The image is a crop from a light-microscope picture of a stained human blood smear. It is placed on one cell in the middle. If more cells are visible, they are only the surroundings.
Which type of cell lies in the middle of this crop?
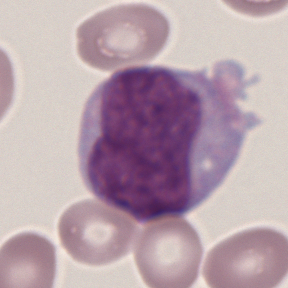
atypical promyelocyte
